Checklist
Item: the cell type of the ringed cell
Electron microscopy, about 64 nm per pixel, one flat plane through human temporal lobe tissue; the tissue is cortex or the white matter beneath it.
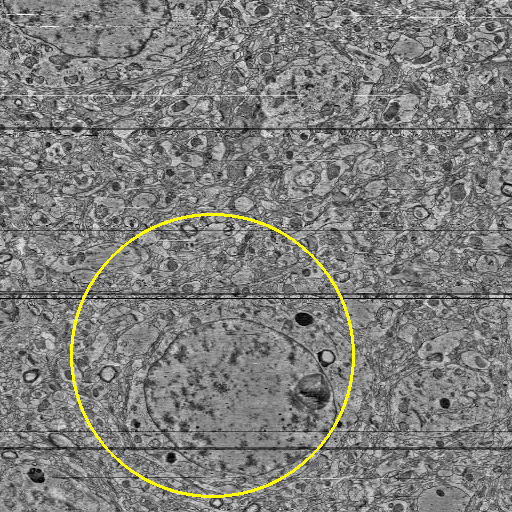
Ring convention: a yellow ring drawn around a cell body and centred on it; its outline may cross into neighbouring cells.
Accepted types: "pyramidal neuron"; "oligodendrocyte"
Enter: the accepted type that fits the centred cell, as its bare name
pyramidal neuron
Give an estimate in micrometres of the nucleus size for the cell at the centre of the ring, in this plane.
The ringed cell's nucleus is about 13 micrometres long and 10 micrometres wide in this plane.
